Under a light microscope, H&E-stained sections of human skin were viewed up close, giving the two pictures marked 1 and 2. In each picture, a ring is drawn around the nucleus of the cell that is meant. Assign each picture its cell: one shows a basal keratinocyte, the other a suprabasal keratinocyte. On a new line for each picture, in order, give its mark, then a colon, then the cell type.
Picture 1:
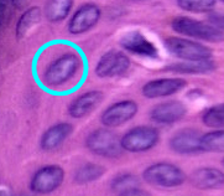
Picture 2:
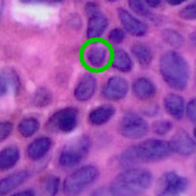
1: suprabasal keratinocyte
2: basal keratinocyte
